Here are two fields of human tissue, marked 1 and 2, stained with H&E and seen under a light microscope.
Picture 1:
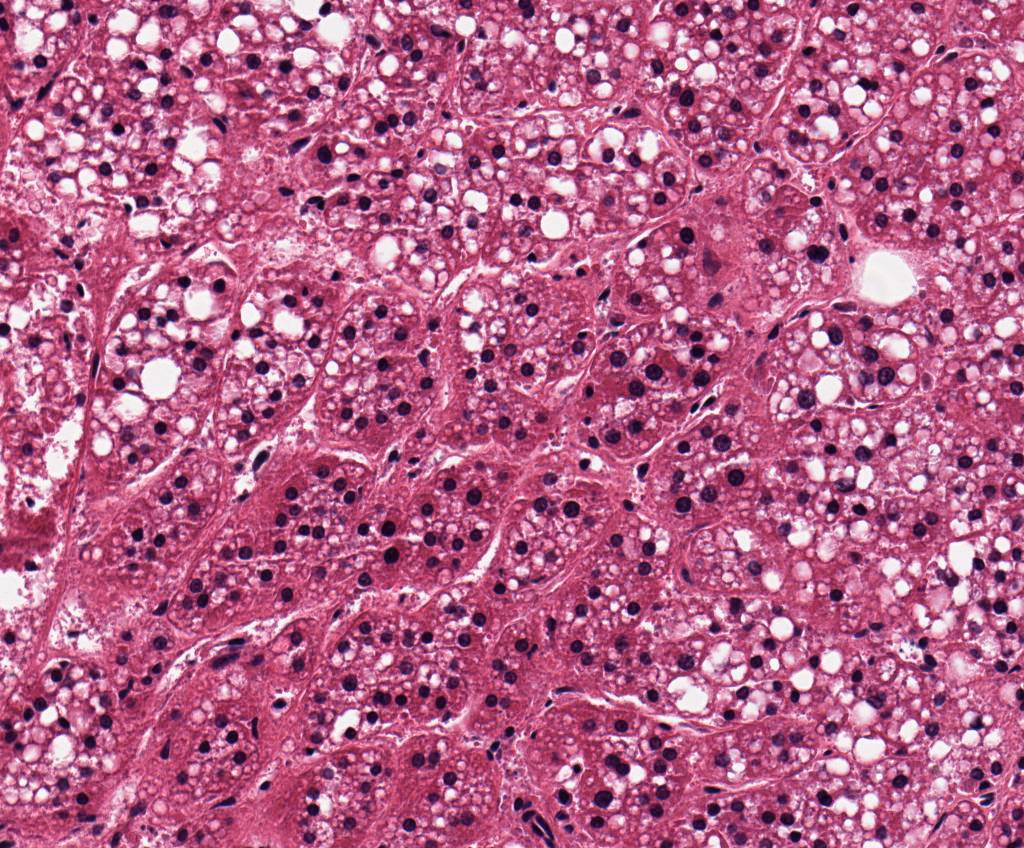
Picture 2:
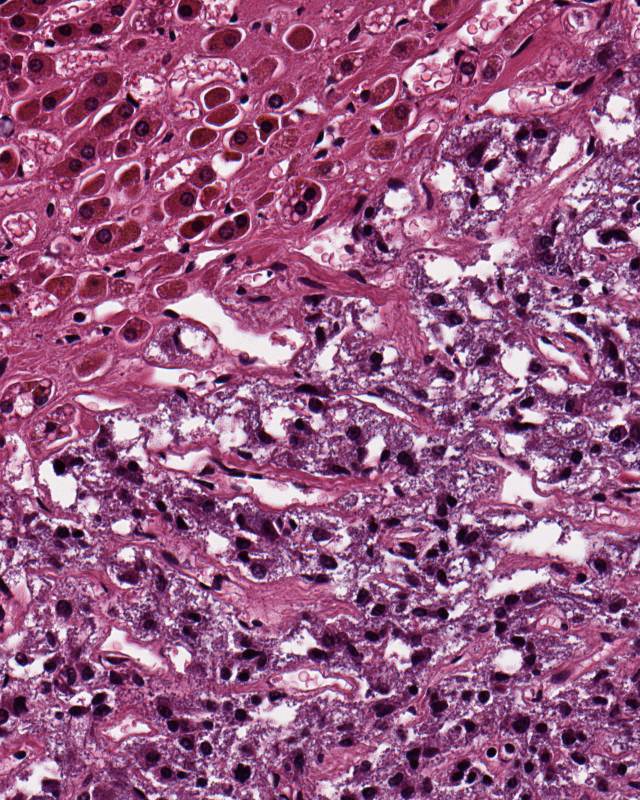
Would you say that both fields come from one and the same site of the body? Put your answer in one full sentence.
Yes, they come from the same site of the body: both come from the adrenal gland.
